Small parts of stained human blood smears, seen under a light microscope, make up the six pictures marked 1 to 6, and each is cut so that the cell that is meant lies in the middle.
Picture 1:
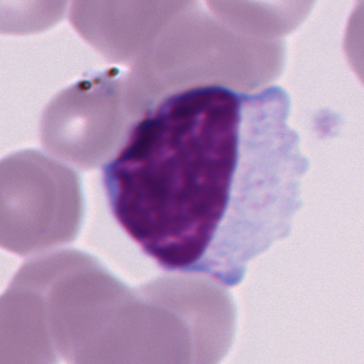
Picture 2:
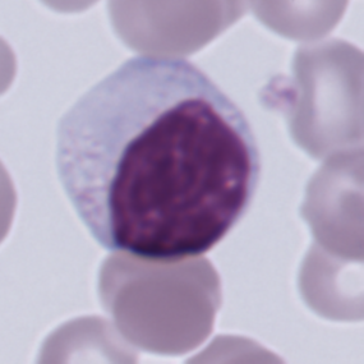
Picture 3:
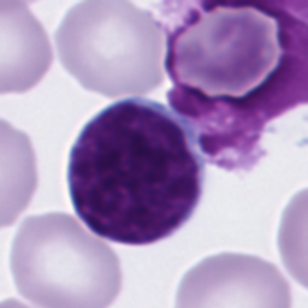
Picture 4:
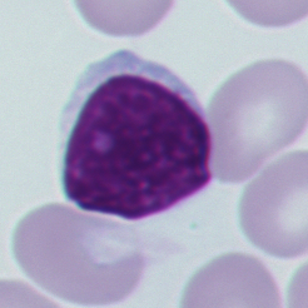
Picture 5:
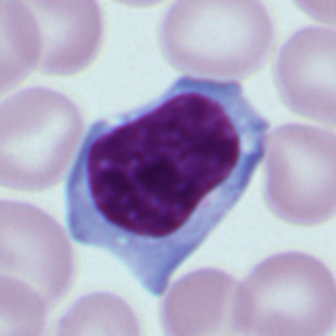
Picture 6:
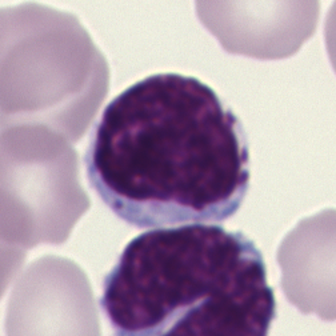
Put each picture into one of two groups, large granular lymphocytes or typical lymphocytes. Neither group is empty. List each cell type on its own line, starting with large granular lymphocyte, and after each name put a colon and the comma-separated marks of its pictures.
large granular lymphocyte: 1, 2
typical lymphocyte: 3, 4, 5, 6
